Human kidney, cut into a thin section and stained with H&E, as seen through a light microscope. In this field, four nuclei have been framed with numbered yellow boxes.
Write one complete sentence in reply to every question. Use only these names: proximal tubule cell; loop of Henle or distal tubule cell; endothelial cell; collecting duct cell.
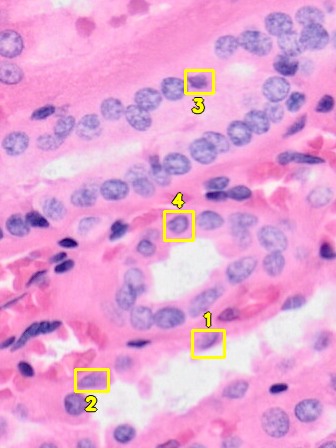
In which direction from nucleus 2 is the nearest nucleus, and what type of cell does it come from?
Lying below and to the left of nucleus 2, the nearest nucleus is that of a loop of Henle or distal tubule cell.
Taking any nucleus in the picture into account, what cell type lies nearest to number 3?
The nearest nucleus to number 3 belongs to a collecting duct cell.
